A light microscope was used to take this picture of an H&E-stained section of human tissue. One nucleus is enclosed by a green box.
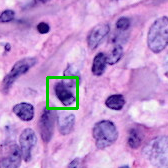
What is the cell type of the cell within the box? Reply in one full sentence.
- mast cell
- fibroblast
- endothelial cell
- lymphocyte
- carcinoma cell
In this preparation, the cell within the box is a lymphocyte.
